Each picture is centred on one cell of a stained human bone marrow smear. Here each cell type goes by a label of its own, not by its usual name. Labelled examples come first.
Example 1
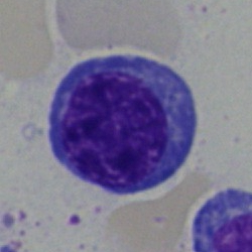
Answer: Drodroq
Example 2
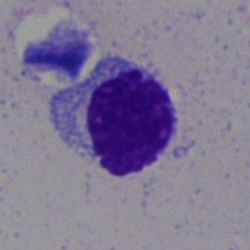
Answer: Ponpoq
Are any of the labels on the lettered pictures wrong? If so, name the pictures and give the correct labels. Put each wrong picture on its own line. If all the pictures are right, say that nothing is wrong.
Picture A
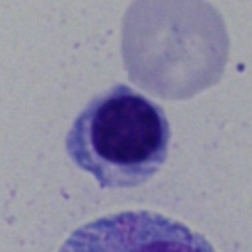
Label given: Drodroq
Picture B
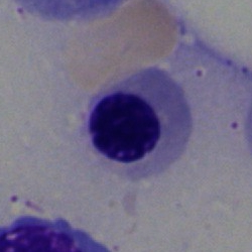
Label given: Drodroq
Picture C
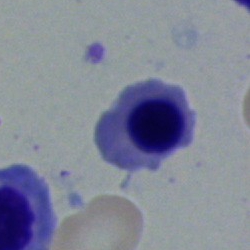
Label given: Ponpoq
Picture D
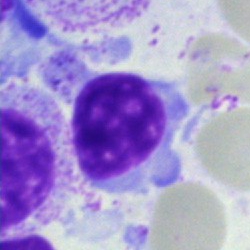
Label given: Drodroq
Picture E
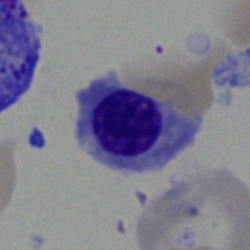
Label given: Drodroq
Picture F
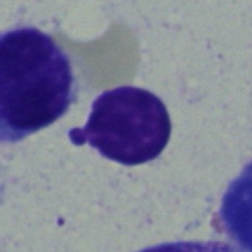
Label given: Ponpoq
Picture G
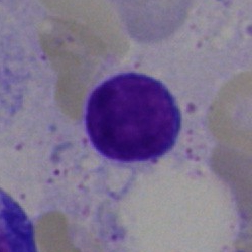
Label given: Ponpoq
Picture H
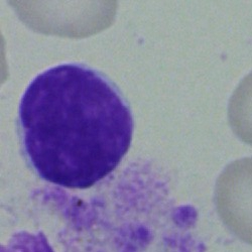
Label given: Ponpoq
C should be Drodroq, not Ponpoq
D should be Ponpoq, not Drodroq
